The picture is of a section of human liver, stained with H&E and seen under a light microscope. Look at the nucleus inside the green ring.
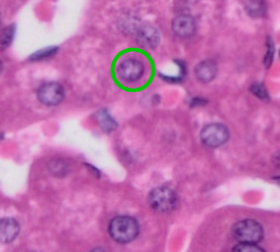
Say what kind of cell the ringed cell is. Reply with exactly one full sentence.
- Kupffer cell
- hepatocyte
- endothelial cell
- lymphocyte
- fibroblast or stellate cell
Within the stained tissue, the ringed cell is a hepatocyte.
